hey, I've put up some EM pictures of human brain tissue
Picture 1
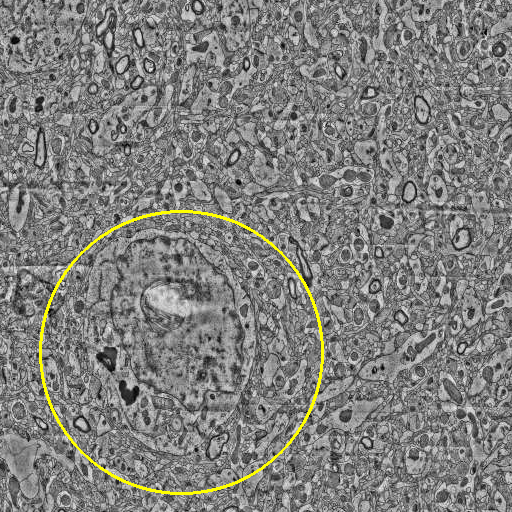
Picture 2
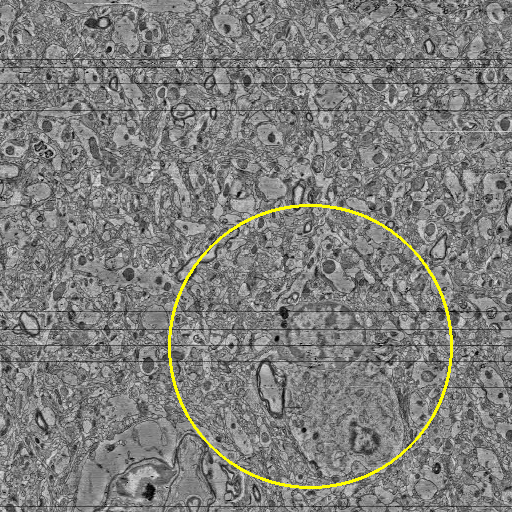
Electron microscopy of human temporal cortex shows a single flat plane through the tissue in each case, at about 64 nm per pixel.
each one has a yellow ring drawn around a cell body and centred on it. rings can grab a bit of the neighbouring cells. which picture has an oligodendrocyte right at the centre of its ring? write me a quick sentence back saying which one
It's Picture 2.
